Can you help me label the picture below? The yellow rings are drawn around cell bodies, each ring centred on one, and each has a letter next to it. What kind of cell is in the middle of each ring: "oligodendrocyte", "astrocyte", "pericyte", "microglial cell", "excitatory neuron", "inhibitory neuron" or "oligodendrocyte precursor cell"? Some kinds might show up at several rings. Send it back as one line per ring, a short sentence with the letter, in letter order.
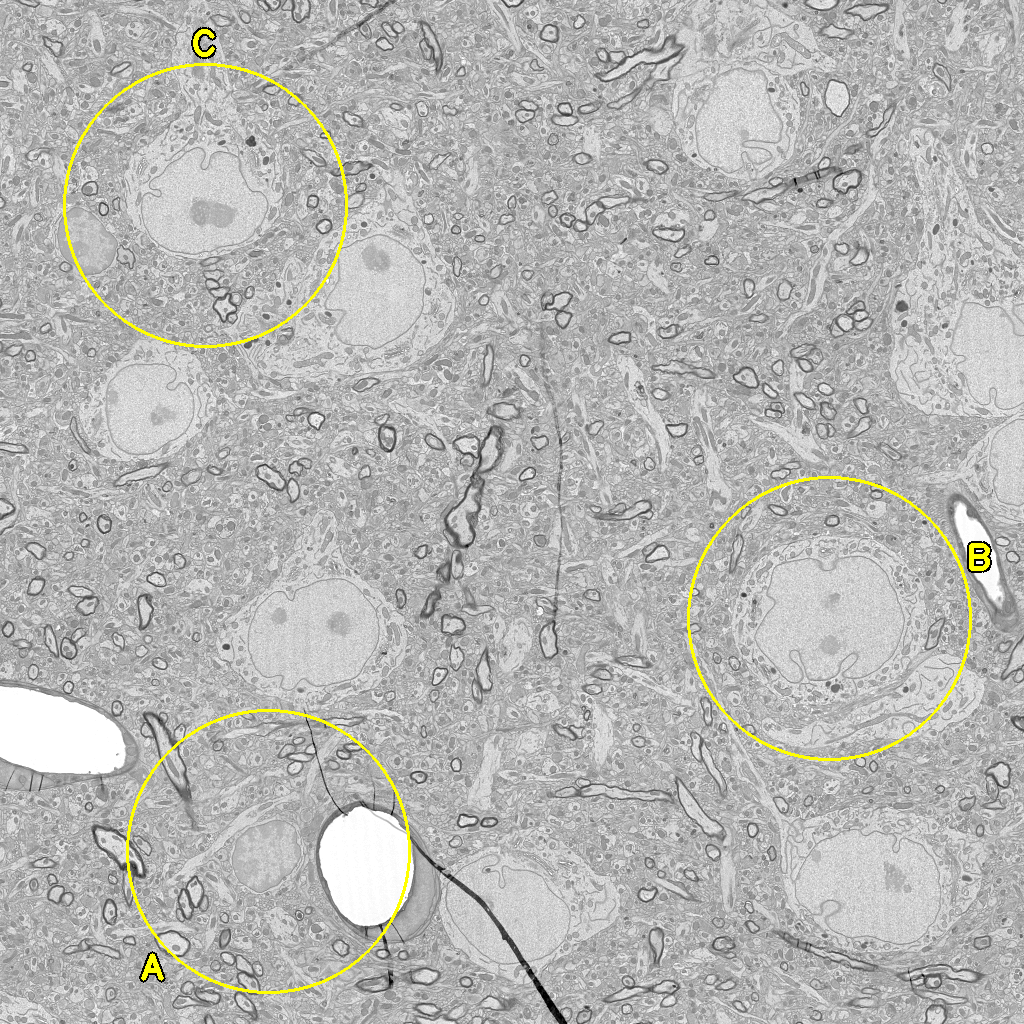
Ring A has a microglial cell in the middle.
Ring B has an inhibitory neuron in the middle.
Ring C has an excitatory neuron in the middle.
